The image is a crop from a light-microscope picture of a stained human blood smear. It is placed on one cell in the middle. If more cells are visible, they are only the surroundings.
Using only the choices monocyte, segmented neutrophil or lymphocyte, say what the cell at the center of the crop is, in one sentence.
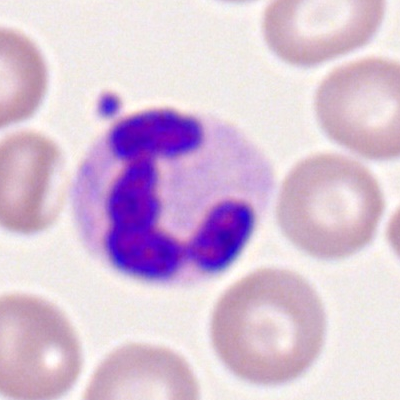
The cell of interest, located centrally, is a segmented neutrophil.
